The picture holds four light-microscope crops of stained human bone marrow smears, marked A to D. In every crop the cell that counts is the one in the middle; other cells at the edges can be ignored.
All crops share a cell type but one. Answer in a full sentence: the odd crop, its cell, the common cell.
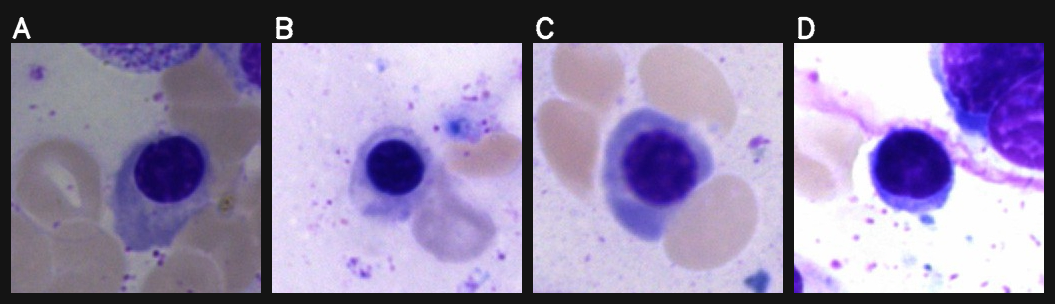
Of all the crops, only crop D shows a lymphocyte; the others show normoblasts.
